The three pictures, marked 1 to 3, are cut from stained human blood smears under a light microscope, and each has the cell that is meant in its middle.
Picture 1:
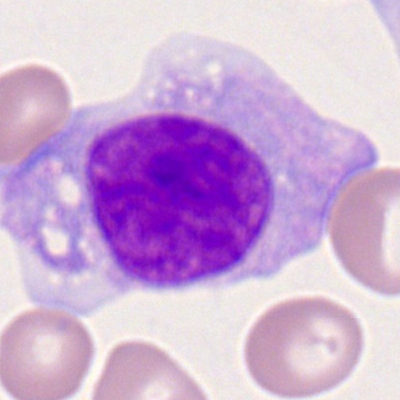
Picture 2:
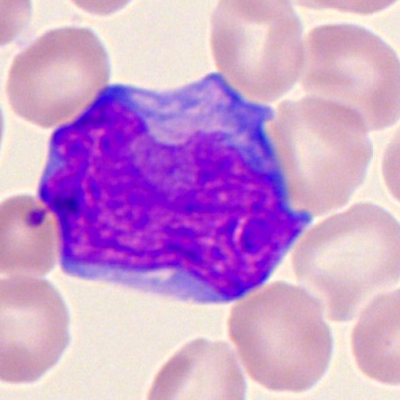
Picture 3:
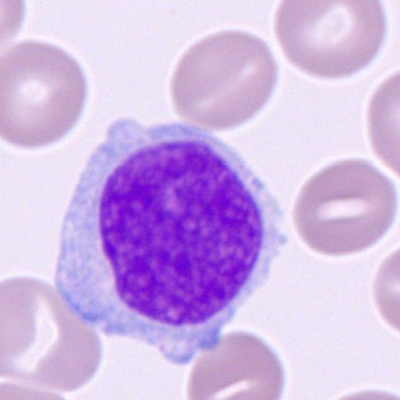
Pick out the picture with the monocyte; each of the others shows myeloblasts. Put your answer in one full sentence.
The monocyte is the one in picture 1.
